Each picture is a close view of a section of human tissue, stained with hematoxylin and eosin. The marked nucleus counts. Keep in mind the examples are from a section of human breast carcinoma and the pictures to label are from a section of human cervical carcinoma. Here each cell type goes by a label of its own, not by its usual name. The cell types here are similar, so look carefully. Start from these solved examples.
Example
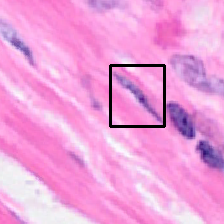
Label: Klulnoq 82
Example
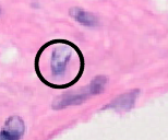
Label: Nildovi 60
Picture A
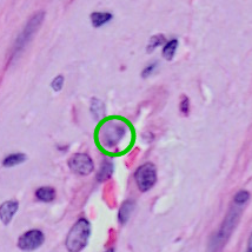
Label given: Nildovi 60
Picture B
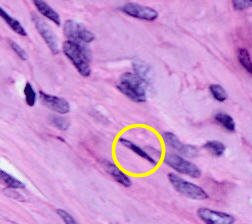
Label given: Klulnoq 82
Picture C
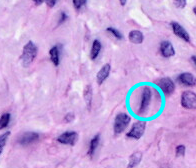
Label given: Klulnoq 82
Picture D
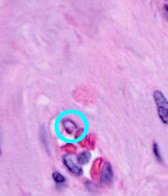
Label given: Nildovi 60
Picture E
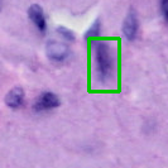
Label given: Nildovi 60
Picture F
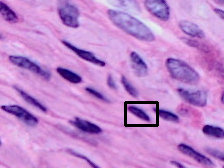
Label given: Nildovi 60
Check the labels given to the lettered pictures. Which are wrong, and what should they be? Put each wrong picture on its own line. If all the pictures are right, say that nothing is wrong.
E is labelled Nildovi 60; correct label: Klulnoq 82
F is labelled Nildovi 60; correct label: Klulnoq 82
